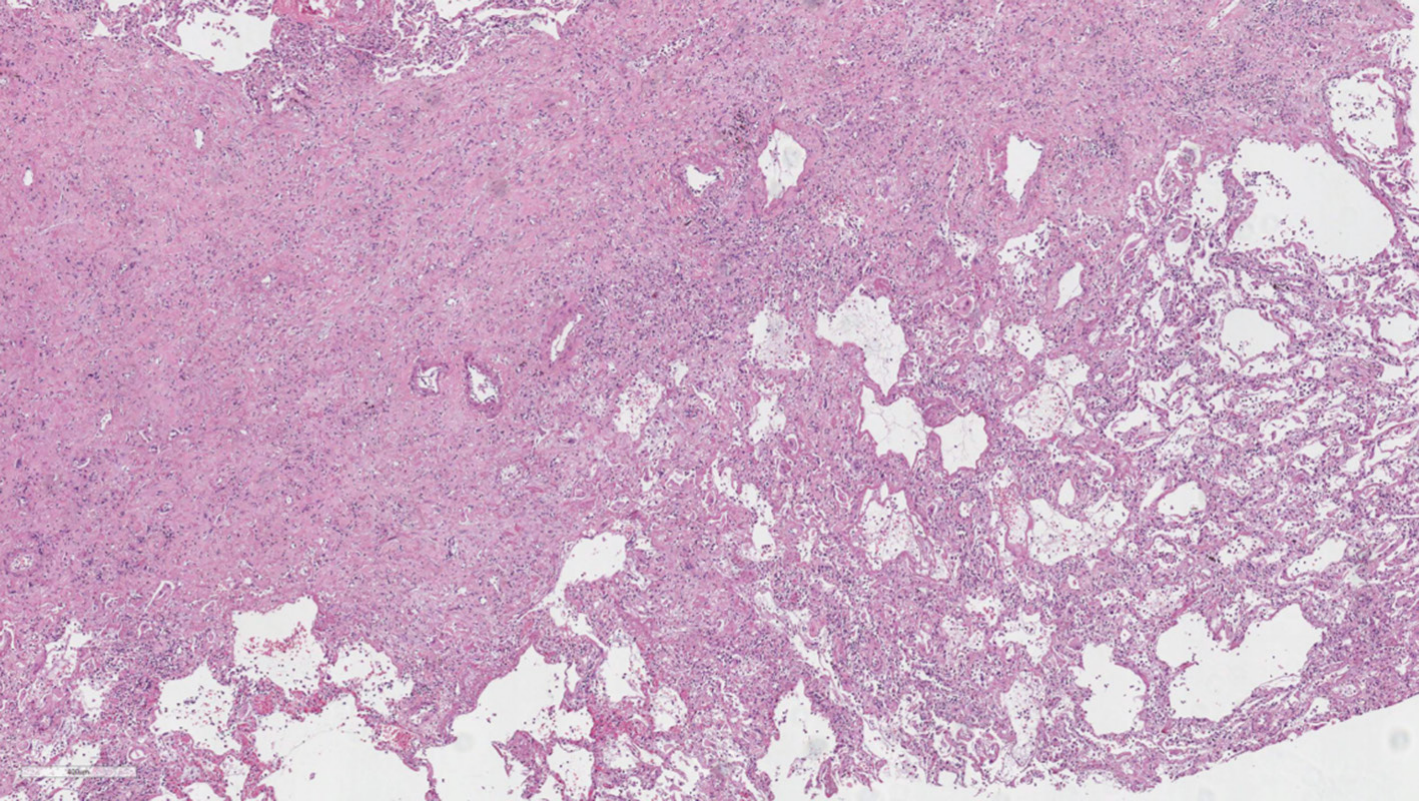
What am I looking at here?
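This low-power section of lung shows a large area of fibrosis next to residual lung parenchyma. Across the upper and left part of the field, dense pink fibrous tissue has replaced the normal alveolar architecture. Scattered spindle-shaped and inflammatory nuclei lie within this tissue, and there are a few small, thick-walled vascular lumina. Toward the right and lower edges, the parenchyma keeps irregular, partly enlarged airspaces. Their walls are thickened and more cellular than normal, and some spaces hold pale material and red blood cells.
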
